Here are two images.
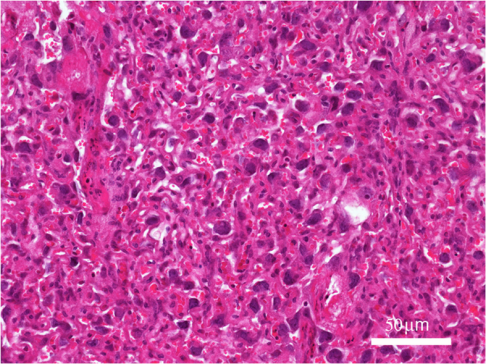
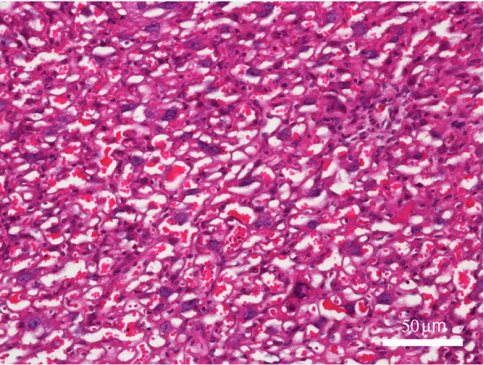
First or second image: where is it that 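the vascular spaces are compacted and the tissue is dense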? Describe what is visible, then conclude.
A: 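First image: densely packed cells with few narrow vascular spaces. Second image: many open vascular spaces filled with red blood cells between thin cords of cells. So: the first image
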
